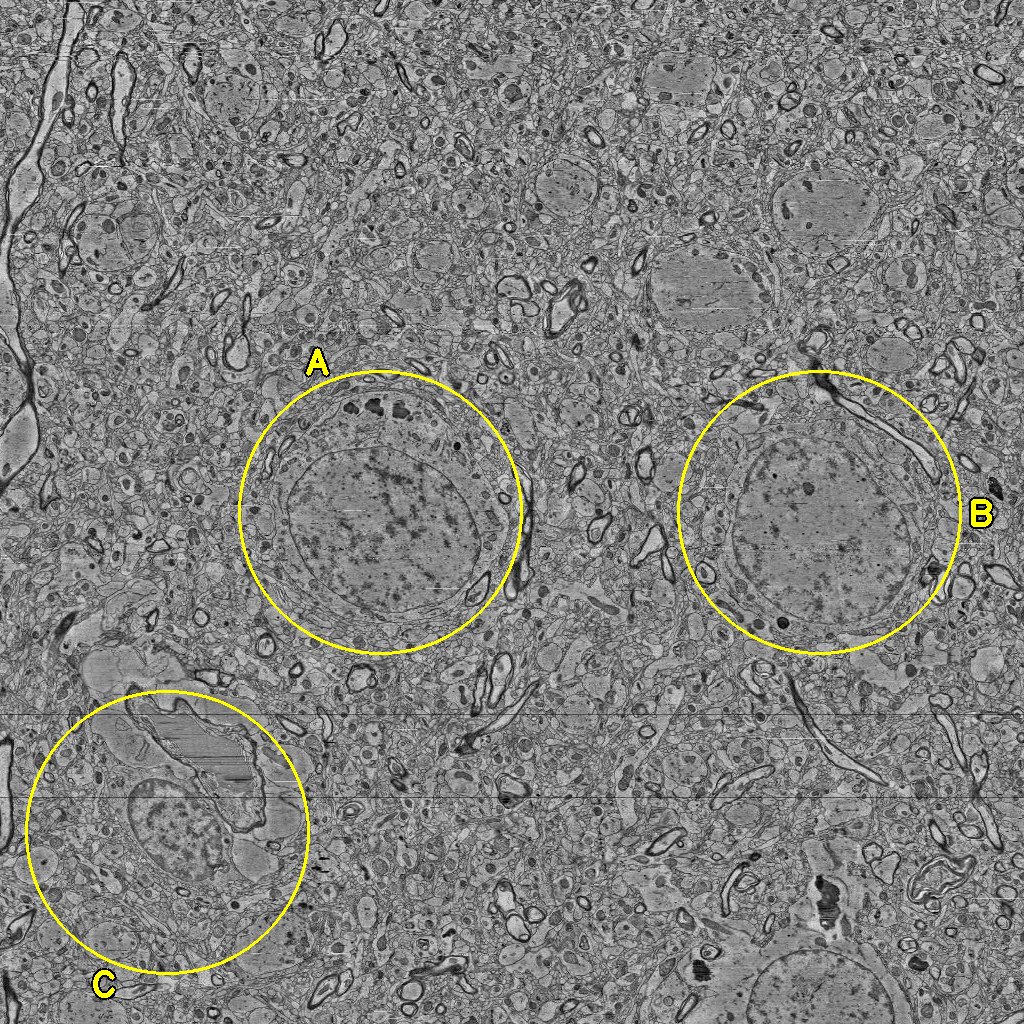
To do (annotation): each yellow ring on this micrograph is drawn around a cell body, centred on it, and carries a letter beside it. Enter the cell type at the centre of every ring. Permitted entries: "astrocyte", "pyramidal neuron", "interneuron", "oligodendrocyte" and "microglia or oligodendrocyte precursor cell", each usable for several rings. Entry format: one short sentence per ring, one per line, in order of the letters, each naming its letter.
Ring A: the cell at its centre is a pyramidal neuron.
Ring B: the cell at its centre is an interneuron.
Ring C: the cell at its centre is an oligodendrocyte.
